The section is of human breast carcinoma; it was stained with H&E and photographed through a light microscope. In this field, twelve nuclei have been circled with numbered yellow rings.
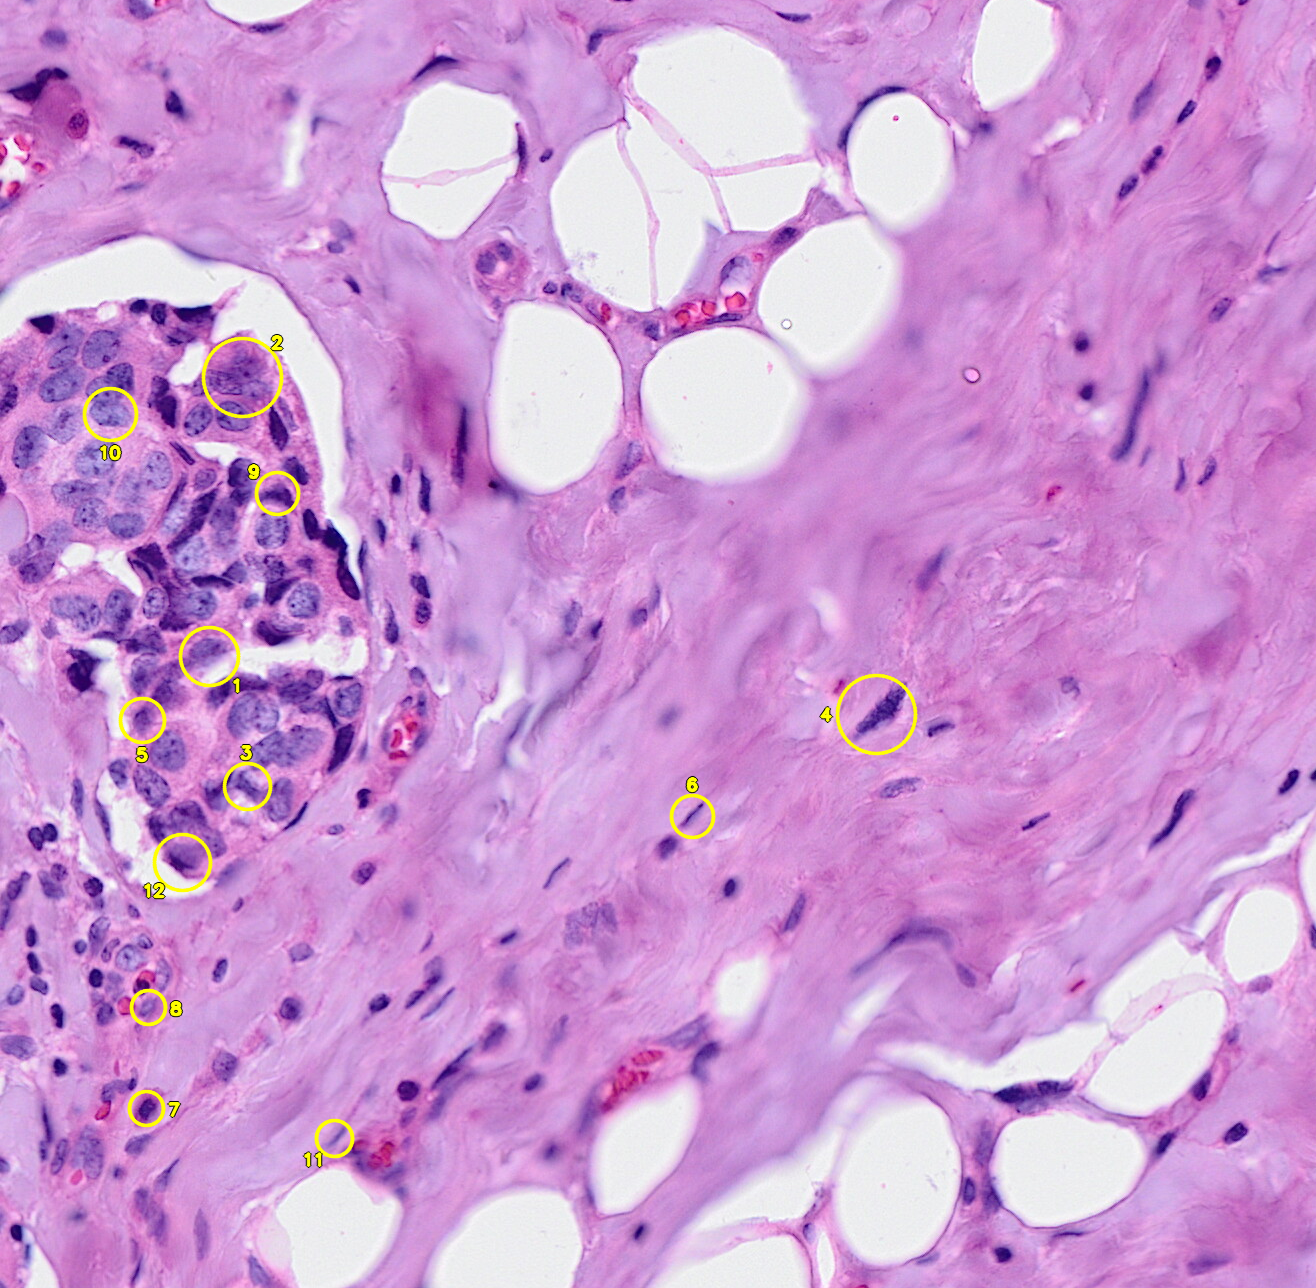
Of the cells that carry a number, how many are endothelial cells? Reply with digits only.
1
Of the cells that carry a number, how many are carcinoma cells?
7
